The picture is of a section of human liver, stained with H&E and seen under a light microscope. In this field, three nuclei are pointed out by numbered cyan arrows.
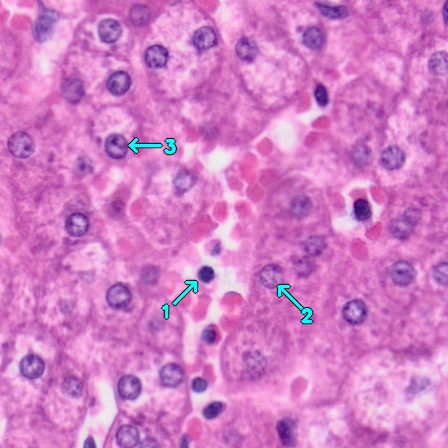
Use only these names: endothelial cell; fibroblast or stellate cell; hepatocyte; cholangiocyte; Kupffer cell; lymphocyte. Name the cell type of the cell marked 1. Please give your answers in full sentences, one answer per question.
Of the numbered cells, the one labelled 1 is a lymphocyte.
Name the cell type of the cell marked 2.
At number 2, the marked cell is a hepatocyte.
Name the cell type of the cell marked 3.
The correct label for cell 3 is a hepatocyte.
